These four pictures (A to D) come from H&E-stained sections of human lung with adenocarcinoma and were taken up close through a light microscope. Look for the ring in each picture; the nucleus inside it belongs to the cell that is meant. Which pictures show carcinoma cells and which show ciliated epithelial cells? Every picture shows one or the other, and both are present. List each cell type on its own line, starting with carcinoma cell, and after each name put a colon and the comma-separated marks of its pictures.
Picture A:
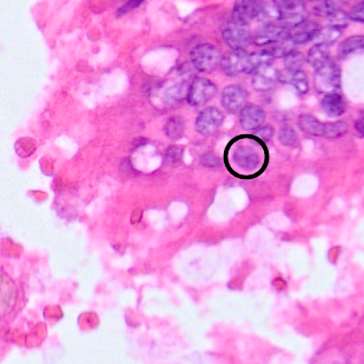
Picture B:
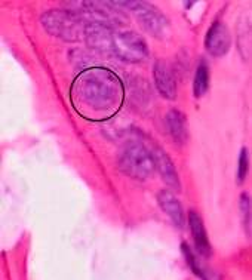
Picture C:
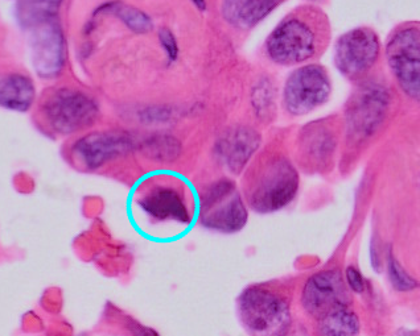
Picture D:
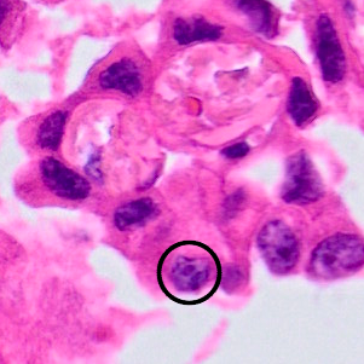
carcinoma cell: C, D
ciliated epithelial cell: A, B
